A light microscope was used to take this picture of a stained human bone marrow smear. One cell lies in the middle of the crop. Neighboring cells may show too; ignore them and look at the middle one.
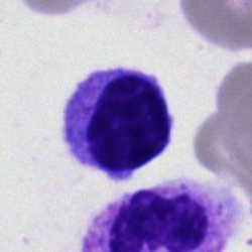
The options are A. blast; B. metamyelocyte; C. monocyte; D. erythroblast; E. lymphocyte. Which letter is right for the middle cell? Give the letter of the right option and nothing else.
E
